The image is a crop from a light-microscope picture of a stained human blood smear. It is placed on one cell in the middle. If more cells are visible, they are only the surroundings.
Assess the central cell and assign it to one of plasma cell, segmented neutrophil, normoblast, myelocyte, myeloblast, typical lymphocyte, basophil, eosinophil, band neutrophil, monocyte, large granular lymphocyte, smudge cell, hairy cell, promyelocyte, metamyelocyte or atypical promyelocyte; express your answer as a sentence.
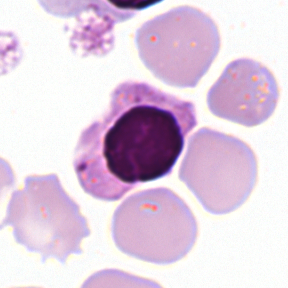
This crop's central cell is a normoblast.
